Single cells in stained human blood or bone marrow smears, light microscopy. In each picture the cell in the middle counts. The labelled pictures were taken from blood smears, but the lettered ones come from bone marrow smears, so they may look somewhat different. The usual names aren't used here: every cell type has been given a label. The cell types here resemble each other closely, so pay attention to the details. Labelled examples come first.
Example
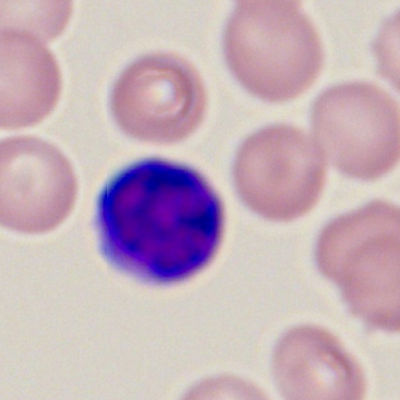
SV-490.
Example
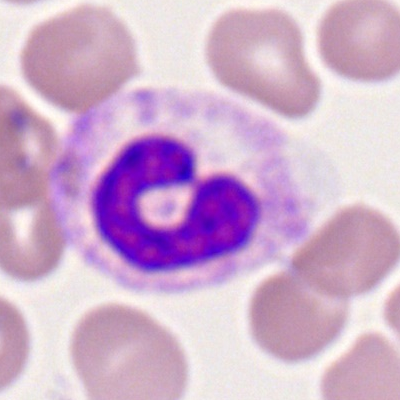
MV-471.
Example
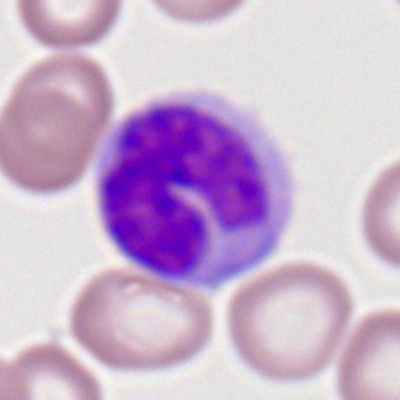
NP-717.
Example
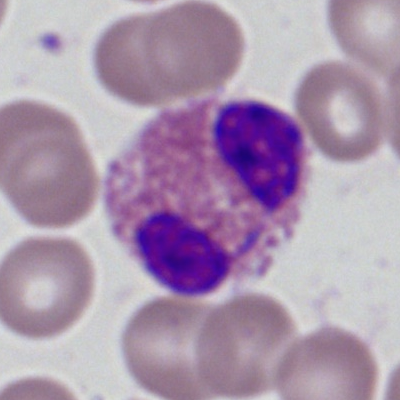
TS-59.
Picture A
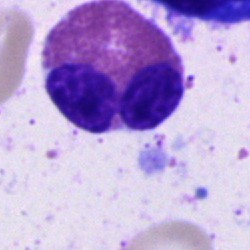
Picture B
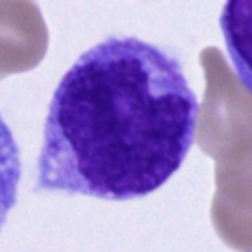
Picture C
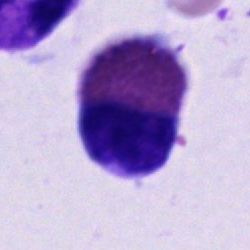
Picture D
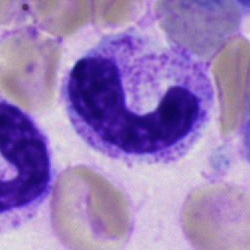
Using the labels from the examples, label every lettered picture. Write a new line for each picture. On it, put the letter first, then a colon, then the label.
A: TS-59.
B: NP-717.
C: TS-59.
D: MV-471.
